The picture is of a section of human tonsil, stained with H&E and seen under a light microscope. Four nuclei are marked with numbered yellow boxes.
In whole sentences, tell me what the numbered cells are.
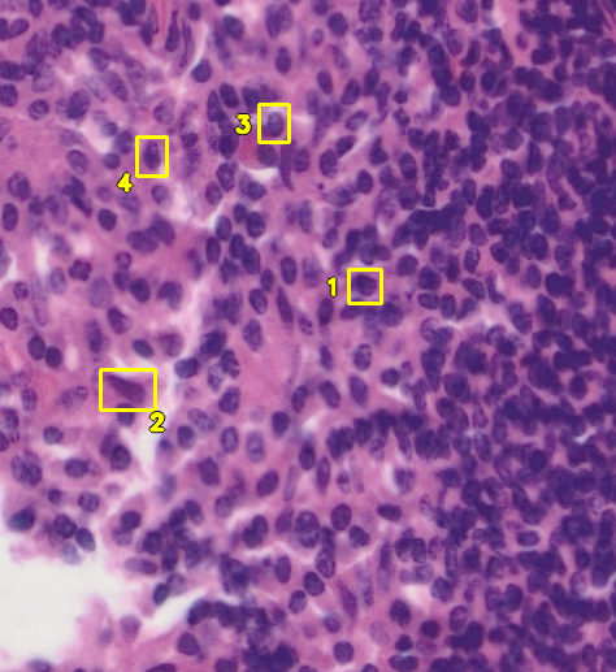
Cell 1 is a plasma cell, cell 2 is a squamous epithelial cell, cell 3 is a plasma cell and cell 4 is a plasma cell.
